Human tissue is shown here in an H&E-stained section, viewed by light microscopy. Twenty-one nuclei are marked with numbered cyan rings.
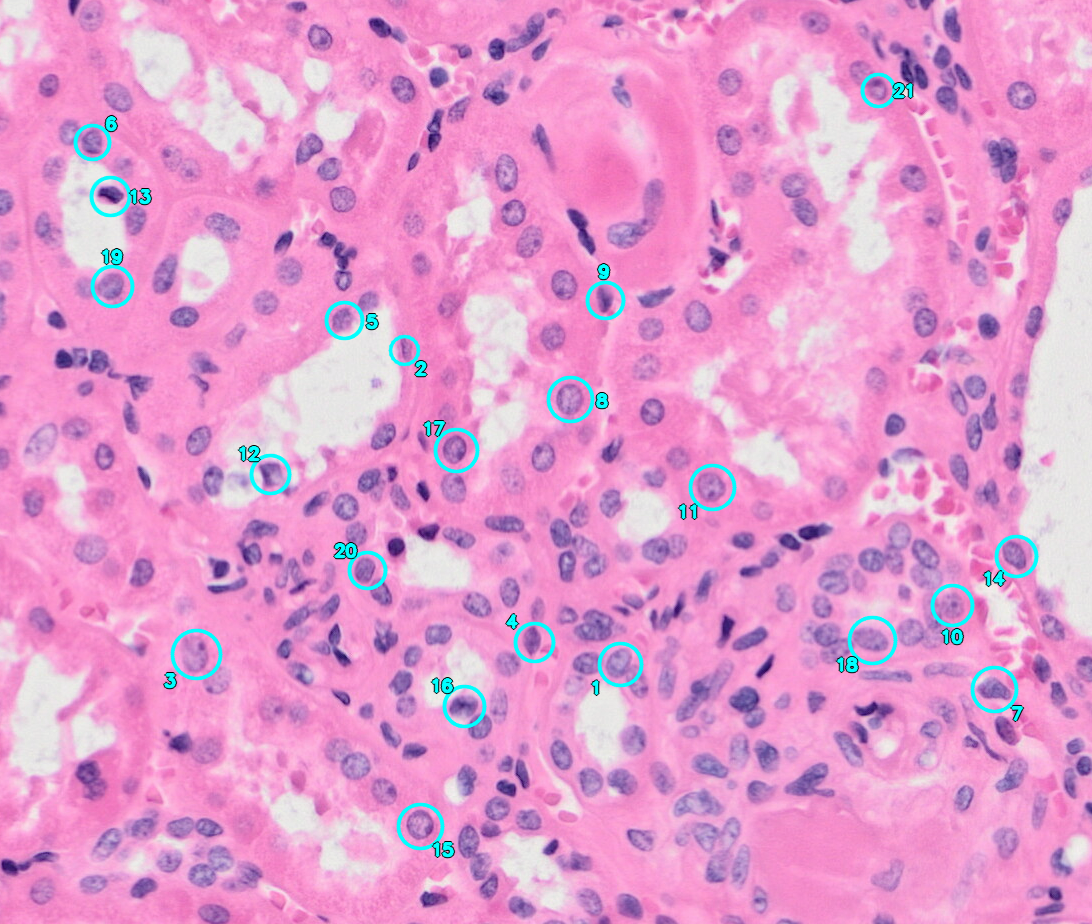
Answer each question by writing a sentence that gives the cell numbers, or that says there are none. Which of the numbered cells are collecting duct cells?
The numbers 1, 10, 16 and 18 in this section indicate collecting duct cells.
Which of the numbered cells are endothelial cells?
The cells numbered 4, 7 and 9 fall into the category of endothelial cells.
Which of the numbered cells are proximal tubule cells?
The cells to which the numbers 3, 8, 11, 15, 17 and 21 refer are proximal tubule cells.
